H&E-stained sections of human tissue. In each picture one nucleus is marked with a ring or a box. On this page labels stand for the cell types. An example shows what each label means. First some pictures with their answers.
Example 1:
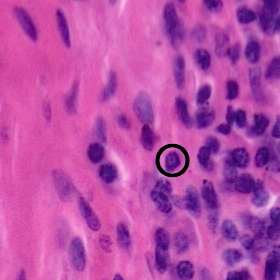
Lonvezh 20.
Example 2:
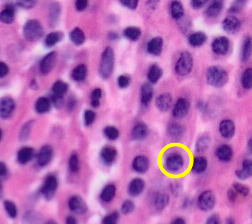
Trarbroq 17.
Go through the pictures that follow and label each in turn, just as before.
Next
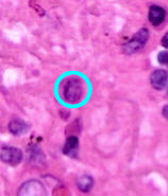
Trarbroq 17.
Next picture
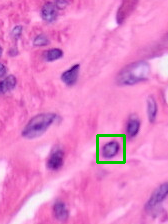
Lonvezh 20.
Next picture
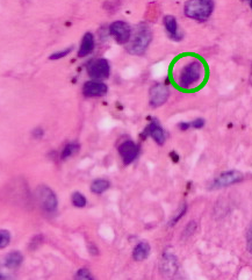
Trarbroq 17.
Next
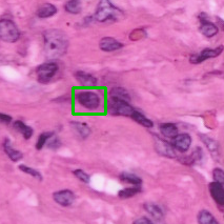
Trarbroq 17.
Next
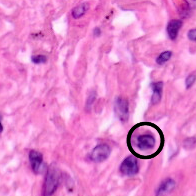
Trarbroq 17.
